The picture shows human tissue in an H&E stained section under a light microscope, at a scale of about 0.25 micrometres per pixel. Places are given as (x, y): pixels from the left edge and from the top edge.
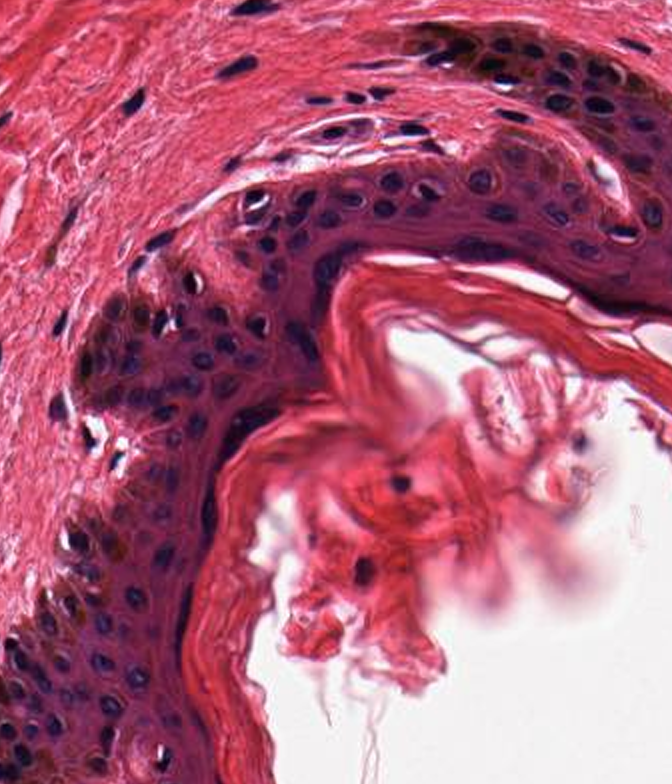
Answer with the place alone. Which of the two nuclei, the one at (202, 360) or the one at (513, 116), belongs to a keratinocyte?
(202, 360)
